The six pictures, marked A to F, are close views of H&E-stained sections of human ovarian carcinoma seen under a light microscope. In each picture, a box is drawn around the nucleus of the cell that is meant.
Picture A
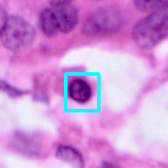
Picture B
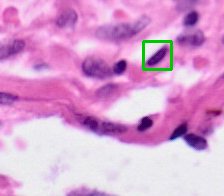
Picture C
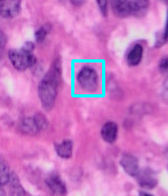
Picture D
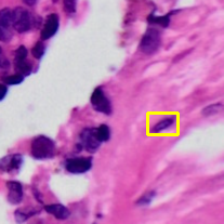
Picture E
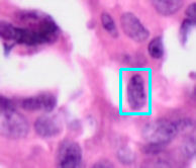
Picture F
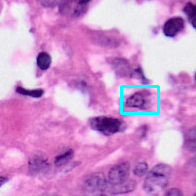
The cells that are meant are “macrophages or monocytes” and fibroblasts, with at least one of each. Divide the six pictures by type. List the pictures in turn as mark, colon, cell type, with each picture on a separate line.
A: macrophage or monocyte
B: fibroblast
C: macrophage or monocyte
D: fibroblast
E: macrophage or monocyte
F: macrophage or monocyte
